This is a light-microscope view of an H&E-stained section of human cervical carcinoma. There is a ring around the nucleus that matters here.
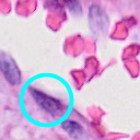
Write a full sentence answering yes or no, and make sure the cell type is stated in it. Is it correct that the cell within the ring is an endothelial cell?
Yes, what the cell within the ring represents in this tissue is an endothelial cell.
